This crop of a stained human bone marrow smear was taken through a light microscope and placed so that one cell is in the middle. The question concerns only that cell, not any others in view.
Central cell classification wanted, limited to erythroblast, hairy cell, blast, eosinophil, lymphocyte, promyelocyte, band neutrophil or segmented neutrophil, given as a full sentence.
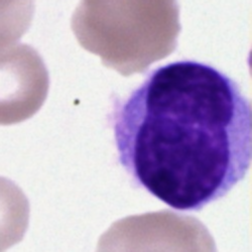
Among the cells in view, the one in the middle is a hairy cell.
